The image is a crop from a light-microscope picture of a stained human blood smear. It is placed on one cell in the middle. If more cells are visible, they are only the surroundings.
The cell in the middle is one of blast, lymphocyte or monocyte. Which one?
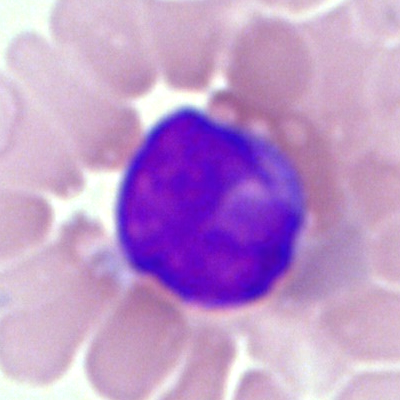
blast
